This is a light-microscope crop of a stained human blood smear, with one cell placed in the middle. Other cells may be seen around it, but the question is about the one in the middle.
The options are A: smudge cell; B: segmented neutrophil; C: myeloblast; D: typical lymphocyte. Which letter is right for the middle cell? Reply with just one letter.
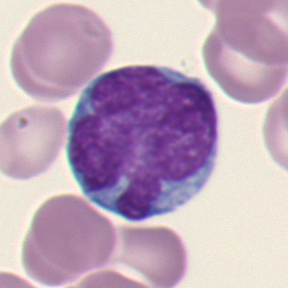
C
